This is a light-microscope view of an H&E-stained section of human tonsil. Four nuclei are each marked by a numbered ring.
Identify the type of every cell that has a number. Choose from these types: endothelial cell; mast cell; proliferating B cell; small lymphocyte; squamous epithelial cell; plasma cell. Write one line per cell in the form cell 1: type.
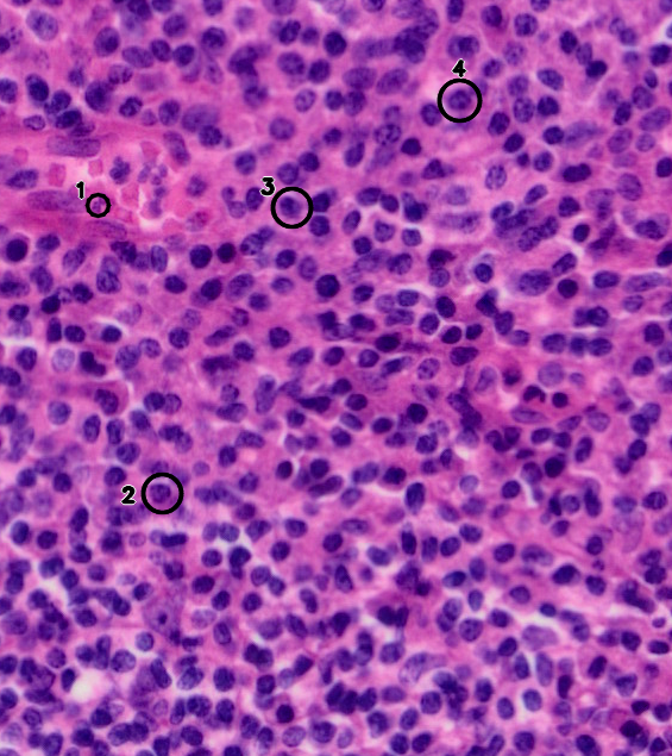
cell 1: endothelial cell
cell 2: plasma cell
cell 3: plasma cell
cell 4: plasma cell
